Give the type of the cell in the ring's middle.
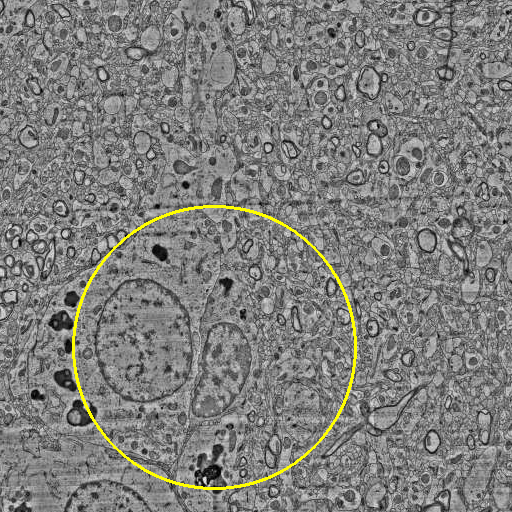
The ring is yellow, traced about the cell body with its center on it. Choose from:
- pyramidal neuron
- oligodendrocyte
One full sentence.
Here, an oligodendrocyte is the cell lying at the center of the yellow ring.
